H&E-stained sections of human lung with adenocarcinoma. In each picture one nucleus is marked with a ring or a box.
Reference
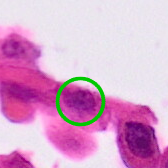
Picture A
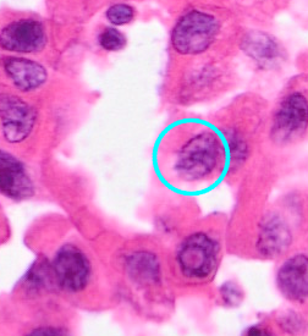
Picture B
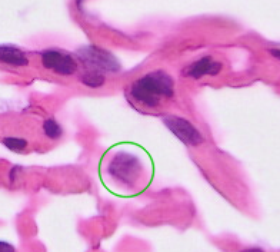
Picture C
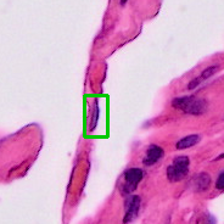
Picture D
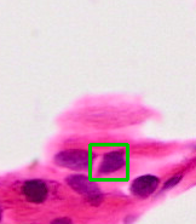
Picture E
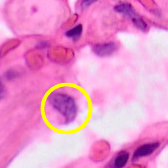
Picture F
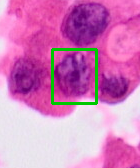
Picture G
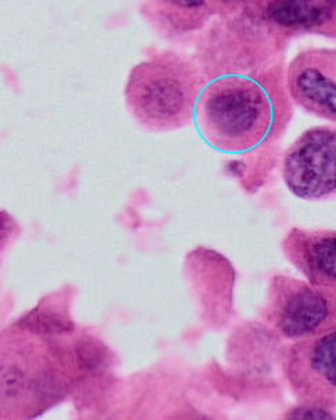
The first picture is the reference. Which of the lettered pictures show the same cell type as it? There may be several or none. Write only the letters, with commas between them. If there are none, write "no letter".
A, F, G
